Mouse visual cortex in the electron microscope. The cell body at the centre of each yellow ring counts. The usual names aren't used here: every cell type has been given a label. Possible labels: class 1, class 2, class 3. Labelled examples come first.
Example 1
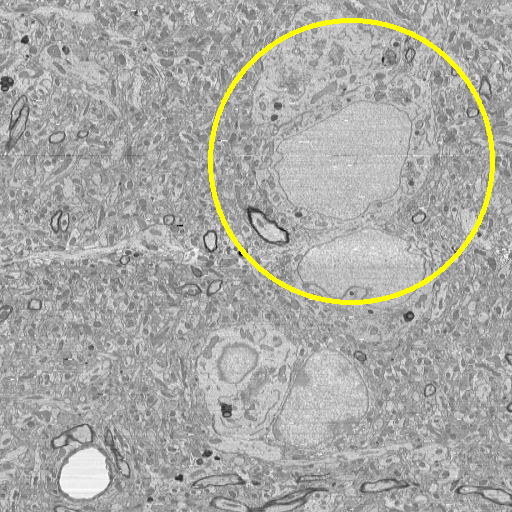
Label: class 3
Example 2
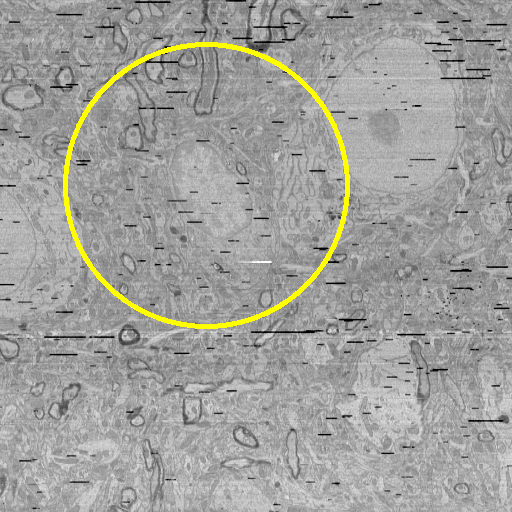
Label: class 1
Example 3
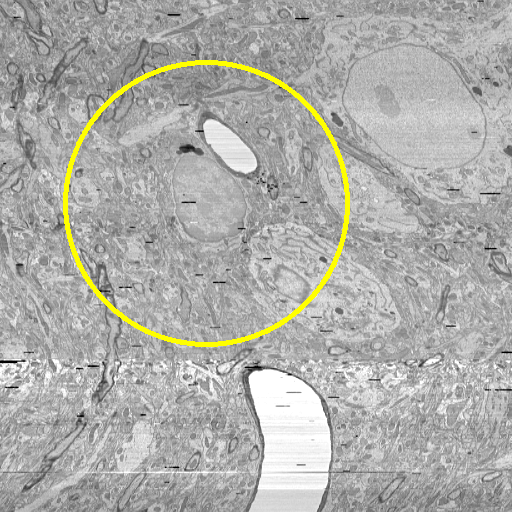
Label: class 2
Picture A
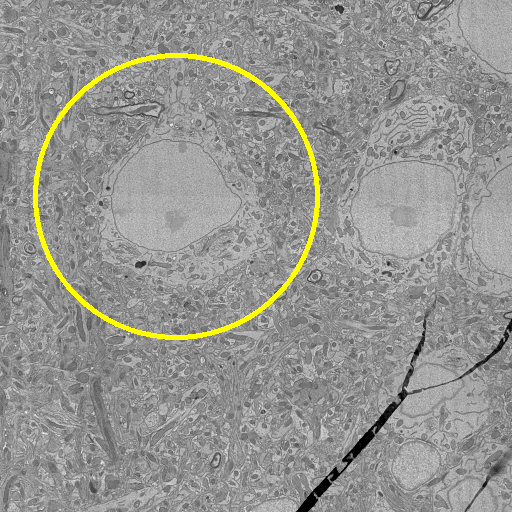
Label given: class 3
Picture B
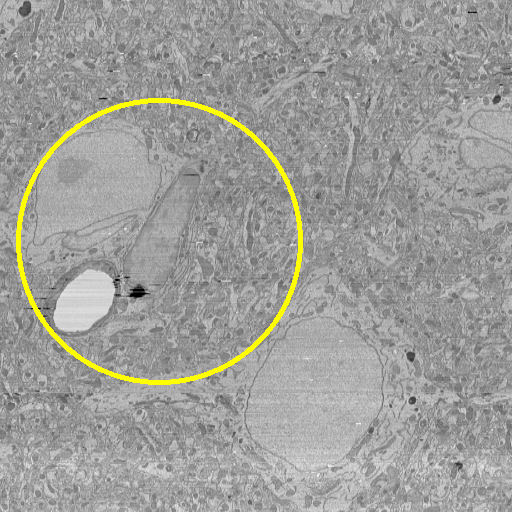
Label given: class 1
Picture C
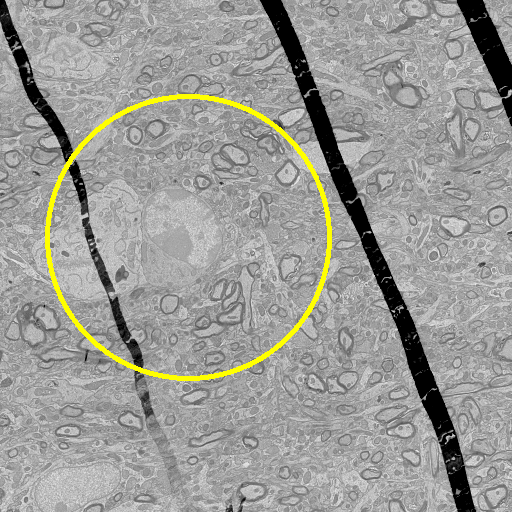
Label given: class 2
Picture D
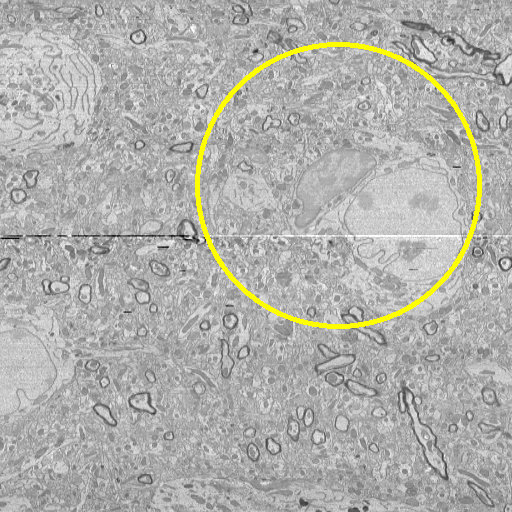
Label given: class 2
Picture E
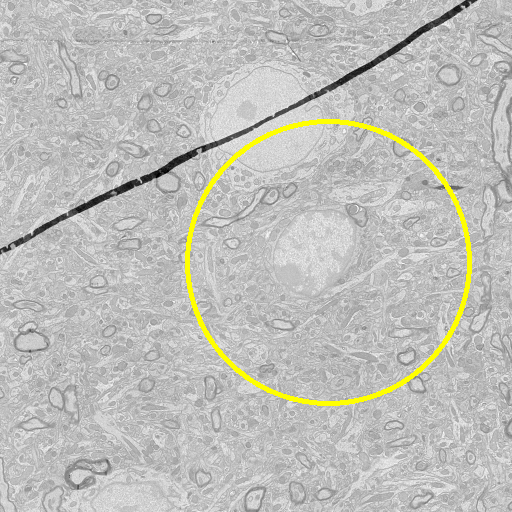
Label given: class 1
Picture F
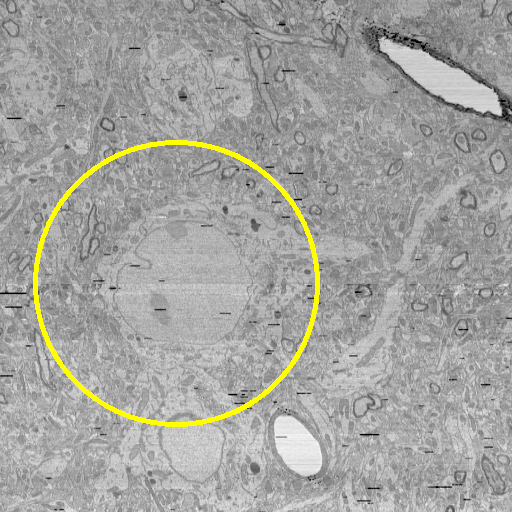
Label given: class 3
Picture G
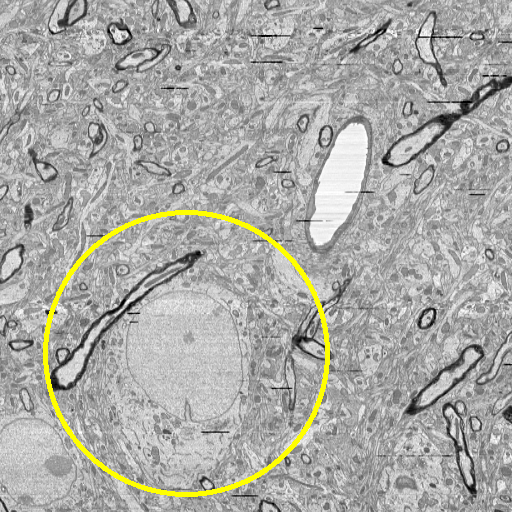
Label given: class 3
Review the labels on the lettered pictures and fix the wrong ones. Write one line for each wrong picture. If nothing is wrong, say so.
Wrong: B (class 1); correct: class 2
Wrong: C (class 2); correct: class 1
